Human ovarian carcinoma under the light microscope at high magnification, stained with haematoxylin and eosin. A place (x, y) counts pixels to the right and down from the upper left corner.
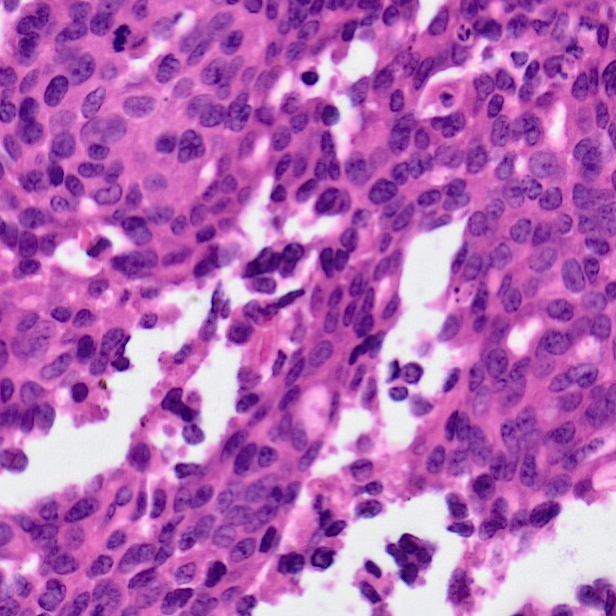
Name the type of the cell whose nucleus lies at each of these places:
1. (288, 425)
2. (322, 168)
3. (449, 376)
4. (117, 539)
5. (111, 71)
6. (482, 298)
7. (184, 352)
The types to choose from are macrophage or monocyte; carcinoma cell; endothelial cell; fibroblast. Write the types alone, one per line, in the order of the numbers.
carcinoma cell
carcinoma cell
macrophage or monocyte
macrophage or monocyte
carcinoma cell
carcinoma cell
macrophage or monocyte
